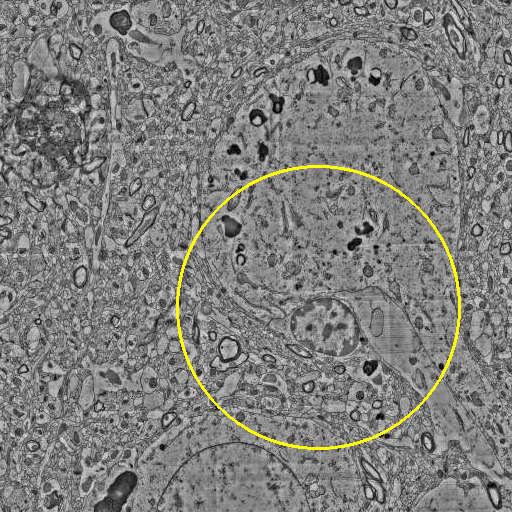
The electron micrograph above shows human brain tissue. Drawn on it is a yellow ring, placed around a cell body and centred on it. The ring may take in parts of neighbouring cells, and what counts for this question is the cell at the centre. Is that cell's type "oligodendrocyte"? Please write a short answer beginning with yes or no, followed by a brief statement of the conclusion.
No, its type is another one.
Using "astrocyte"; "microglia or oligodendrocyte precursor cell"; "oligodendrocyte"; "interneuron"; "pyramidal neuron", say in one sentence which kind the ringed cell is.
It is a microglial cell or oligodendrocyte precursor cell that the ring is centred on.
